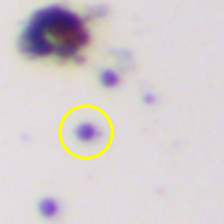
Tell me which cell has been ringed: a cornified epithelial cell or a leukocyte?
It is a leukocyte.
